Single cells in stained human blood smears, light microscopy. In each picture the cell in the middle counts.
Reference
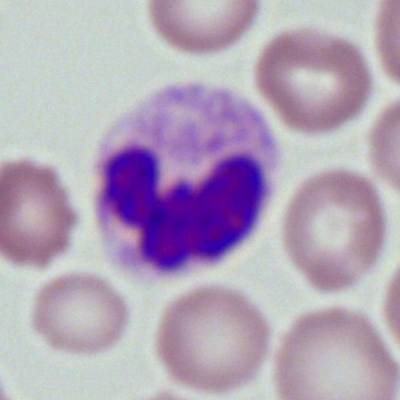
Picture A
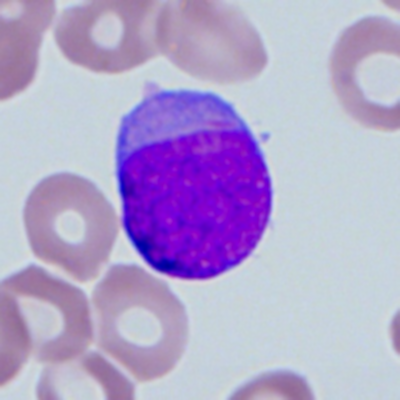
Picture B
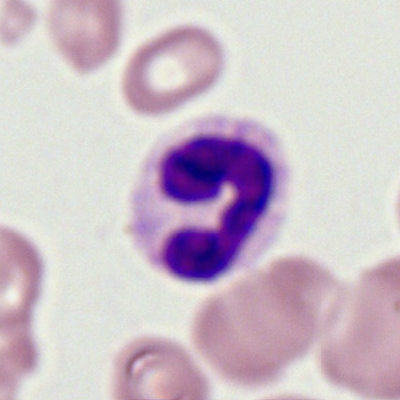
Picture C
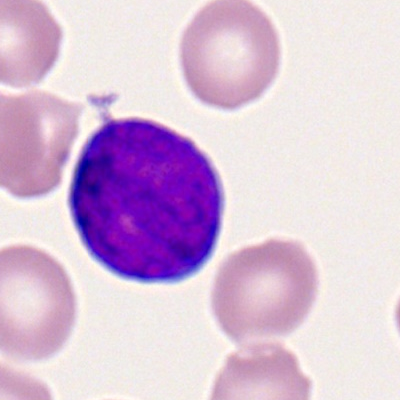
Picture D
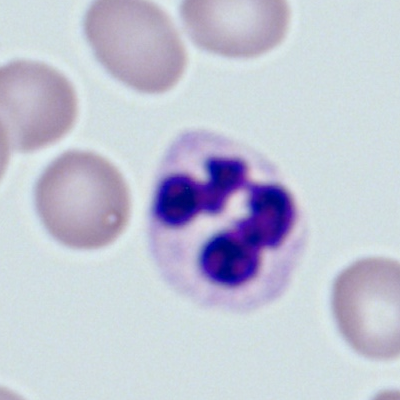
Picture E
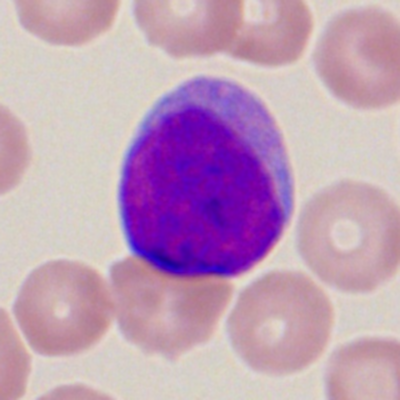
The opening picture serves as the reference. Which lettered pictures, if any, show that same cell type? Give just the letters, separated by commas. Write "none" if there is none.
B, D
